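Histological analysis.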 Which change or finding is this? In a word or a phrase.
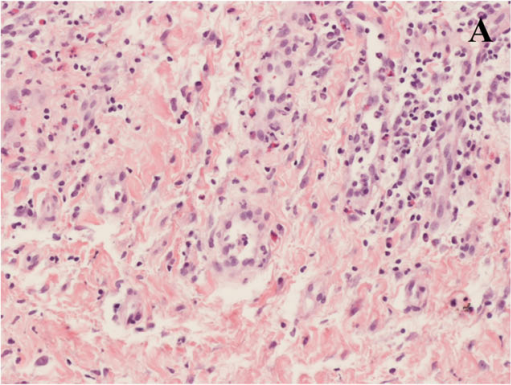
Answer: Chronic inflammation with fibrosis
